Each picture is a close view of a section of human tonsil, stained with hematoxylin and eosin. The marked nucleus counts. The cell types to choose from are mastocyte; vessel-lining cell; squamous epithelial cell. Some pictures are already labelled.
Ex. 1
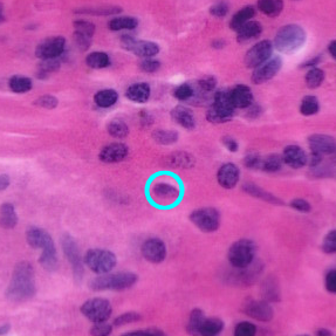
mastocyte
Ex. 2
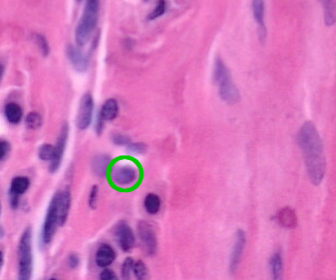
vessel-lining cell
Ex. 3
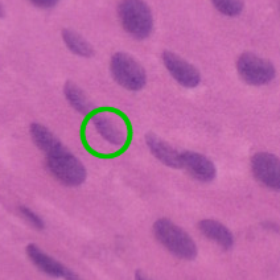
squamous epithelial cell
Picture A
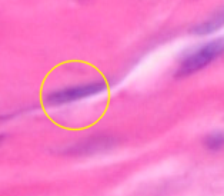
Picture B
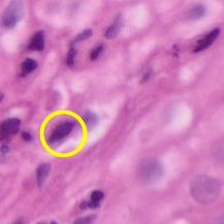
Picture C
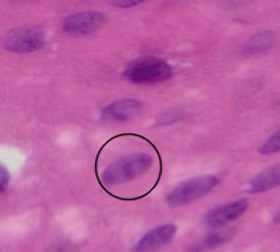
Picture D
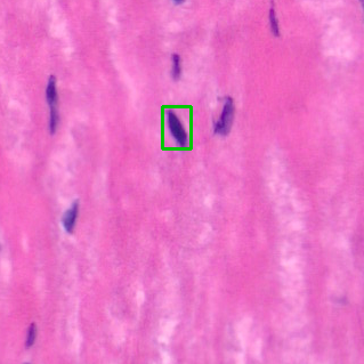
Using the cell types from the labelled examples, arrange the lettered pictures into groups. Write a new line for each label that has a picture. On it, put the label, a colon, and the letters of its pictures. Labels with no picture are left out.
mastocyte: D
vessel-lining cell: A
squamous epithelial cell: B, C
